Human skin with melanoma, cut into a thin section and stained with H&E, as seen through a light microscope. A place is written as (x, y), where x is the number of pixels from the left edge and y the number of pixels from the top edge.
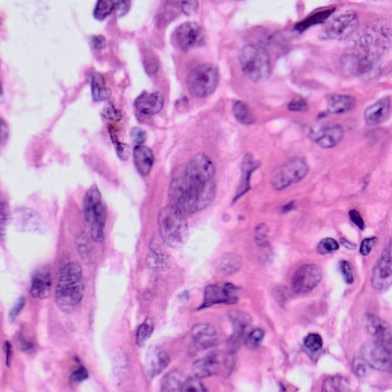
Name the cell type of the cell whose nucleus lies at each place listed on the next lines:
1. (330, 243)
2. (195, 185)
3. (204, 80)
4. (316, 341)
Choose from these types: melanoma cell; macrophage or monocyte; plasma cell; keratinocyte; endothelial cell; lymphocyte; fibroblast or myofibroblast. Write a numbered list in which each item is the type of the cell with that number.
1. lymphocyte
2. melanoma cell
3. melanoma cell
4. lymphocyte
